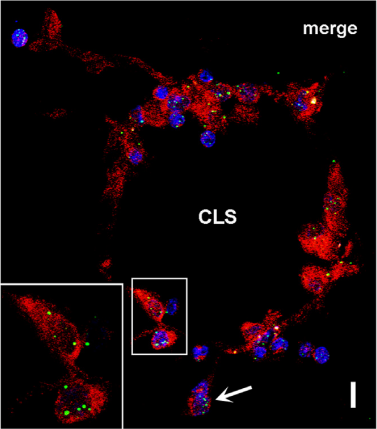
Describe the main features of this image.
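Macrophages in adipose tissue are packed in a ring around a large round empty space left by a fat cell, with a few single cells lying outside the ring. The cells have irregular, often elongated bodies filled with granular red cytoplasmic signal and round blue nuclei. Small bright green dots are scattered over the red cytoplasm, some appearing yellow where they overlap the red. The enlarged inset shows two such cells with green dots lying within the red cytoplasm.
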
